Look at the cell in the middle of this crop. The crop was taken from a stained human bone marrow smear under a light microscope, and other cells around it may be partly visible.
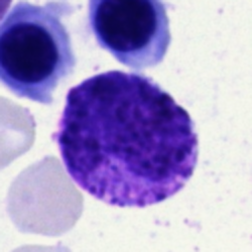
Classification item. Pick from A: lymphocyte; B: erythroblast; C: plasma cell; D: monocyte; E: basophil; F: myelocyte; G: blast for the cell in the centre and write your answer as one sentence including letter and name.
The cell positioned centrally is a basophil, as given in option E, which is correct.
